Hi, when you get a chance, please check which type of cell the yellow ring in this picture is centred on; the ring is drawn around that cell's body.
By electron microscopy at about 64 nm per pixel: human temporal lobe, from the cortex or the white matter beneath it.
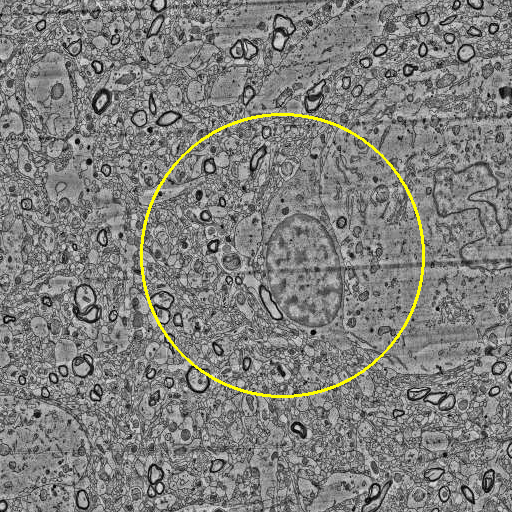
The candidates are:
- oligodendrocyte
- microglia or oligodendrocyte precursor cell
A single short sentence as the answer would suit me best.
The ring is drawn around the body of an oligodendrocyte.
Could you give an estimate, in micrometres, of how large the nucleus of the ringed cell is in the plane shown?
In this plane, approximately 7 by 5 micrometers.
